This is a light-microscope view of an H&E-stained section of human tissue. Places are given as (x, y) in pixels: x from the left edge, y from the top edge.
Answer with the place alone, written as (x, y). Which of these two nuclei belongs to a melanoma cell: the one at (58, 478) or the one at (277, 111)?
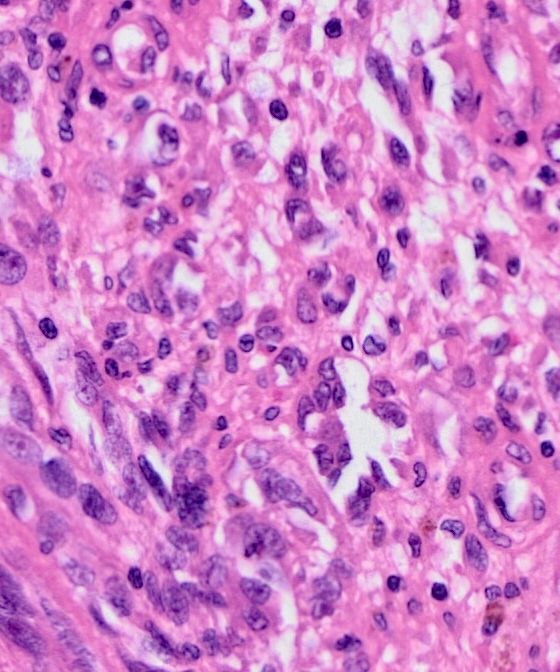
(58, 478)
